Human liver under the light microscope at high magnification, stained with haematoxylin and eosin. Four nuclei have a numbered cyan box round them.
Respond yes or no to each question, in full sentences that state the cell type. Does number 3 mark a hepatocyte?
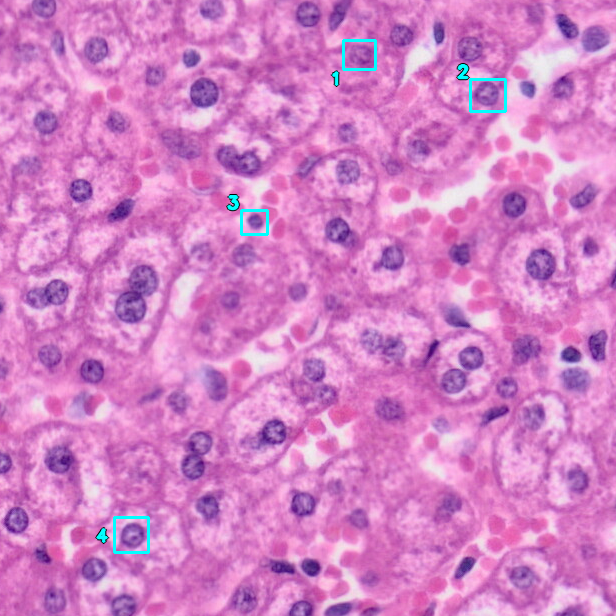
No, the cell tagged 3 is a lymphocyte, not a hepatocyte.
